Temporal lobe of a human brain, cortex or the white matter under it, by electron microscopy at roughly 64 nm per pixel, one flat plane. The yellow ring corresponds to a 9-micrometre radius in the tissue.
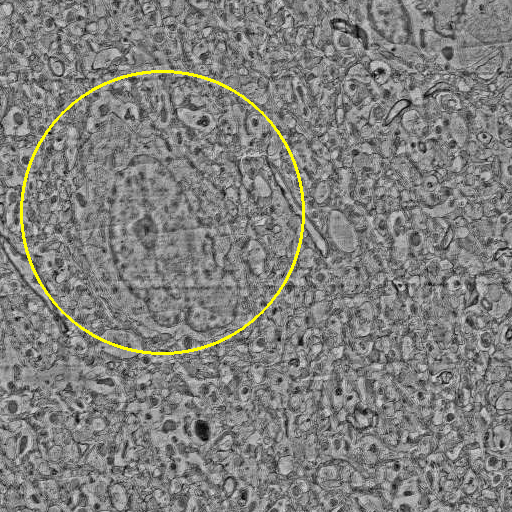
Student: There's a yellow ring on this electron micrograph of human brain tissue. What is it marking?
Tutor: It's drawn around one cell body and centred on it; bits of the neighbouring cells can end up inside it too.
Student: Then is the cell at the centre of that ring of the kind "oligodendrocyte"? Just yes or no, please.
no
